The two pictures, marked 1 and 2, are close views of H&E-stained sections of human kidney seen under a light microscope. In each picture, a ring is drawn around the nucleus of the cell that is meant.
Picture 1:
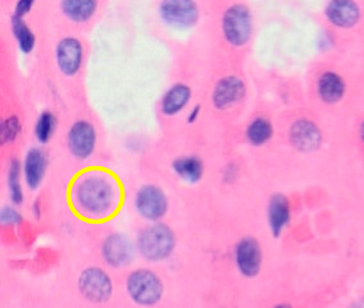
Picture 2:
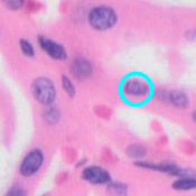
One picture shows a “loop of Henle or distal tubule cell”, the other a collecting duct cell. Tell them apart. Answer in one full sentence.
In picture 1 the cell is a “loop of Henle or distal tubule cell”; in picture 2, a collecting duct cell.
